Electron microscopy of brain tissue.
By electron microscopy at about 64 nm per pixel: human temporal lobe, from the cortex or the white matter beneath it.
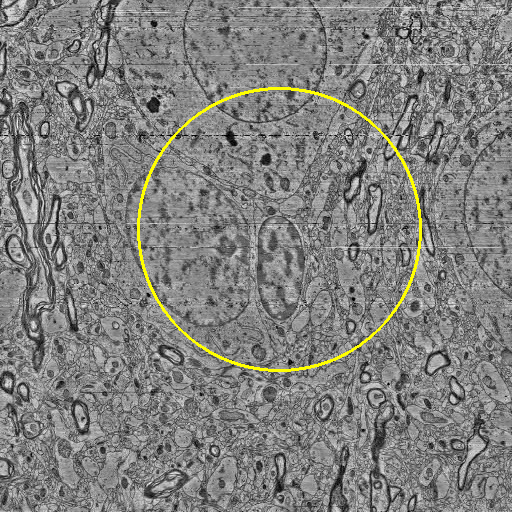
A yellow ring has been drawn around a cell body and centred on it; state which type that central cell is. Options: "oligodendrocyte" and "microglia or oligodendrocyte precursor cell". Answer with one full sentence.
The cell at the middle of the yellow ring is a microglial cell or oligodendrocyte precursor cell in this picture.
